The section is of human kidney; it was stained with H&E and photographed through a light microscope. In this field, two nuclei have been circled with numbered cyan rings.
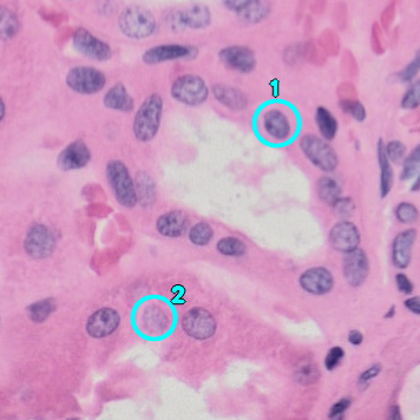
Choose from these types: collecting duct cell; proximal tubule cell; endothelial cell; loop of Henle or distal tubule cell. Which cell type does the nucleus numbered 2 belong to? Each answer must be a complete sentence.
The one labeled 2 is a proximal tubule cell, to put it simply.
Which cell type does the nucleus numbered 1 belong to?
The identity of cell 1 is that of a collecting duct cell.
